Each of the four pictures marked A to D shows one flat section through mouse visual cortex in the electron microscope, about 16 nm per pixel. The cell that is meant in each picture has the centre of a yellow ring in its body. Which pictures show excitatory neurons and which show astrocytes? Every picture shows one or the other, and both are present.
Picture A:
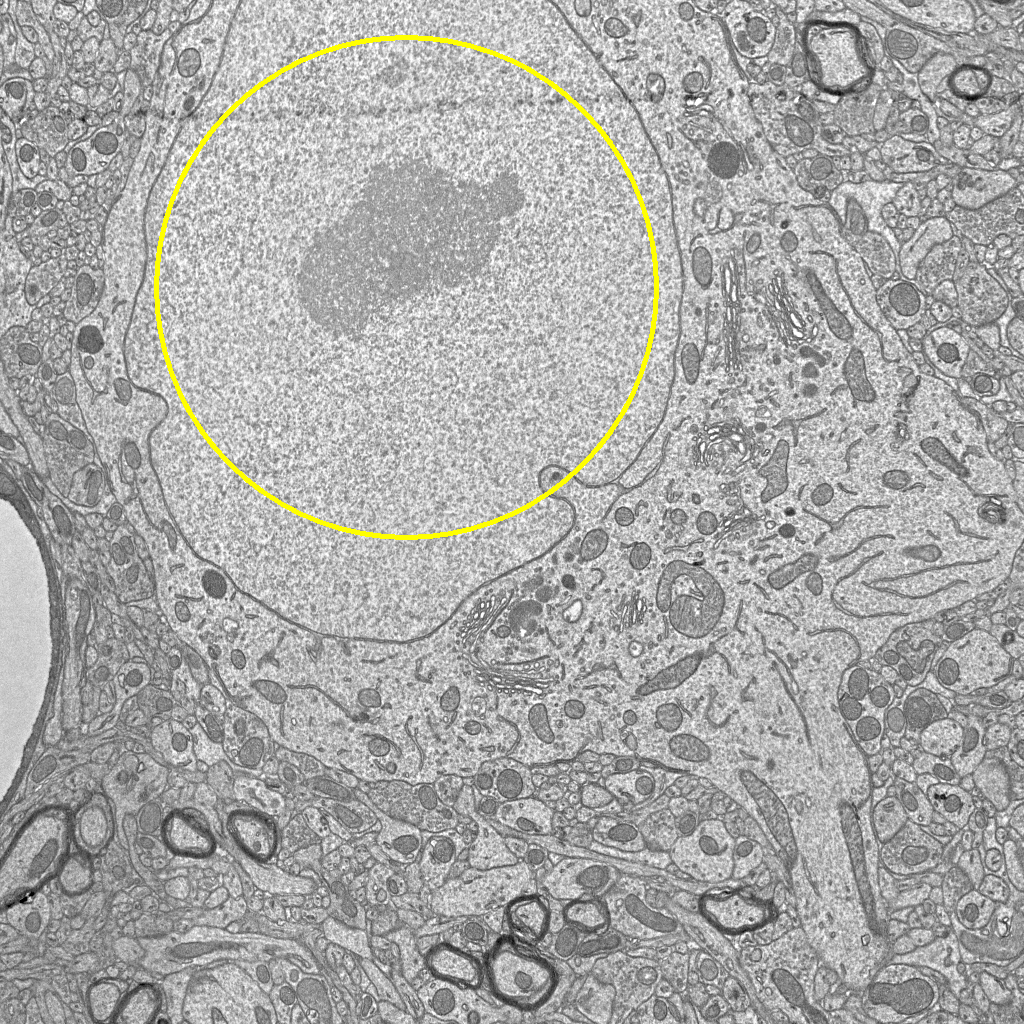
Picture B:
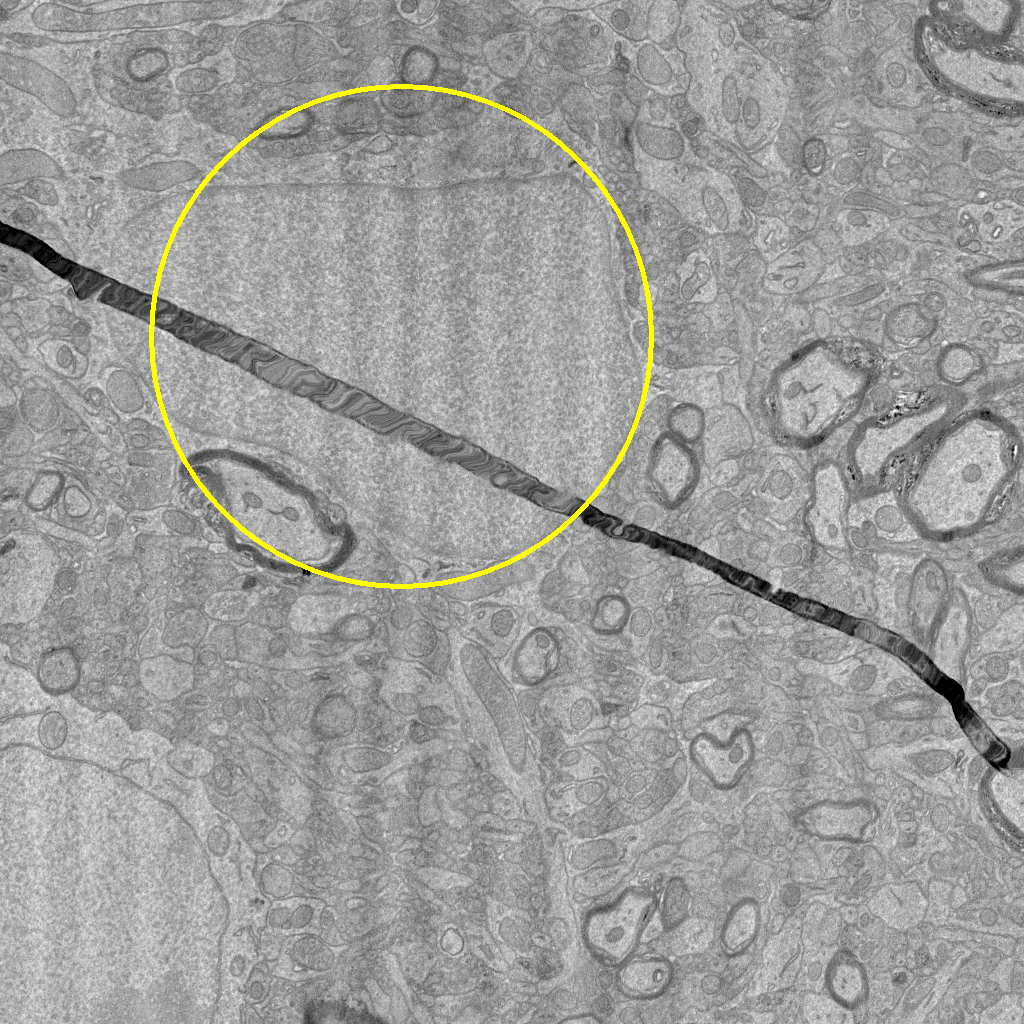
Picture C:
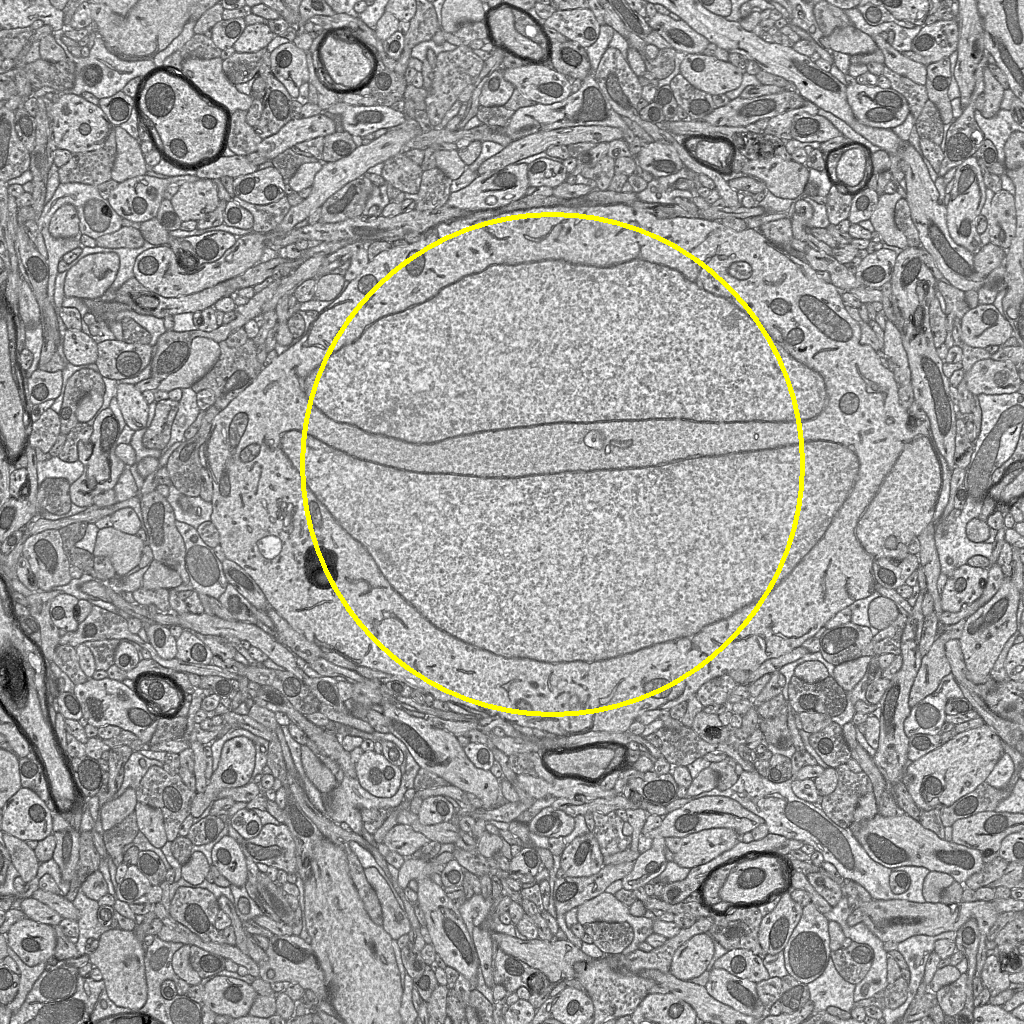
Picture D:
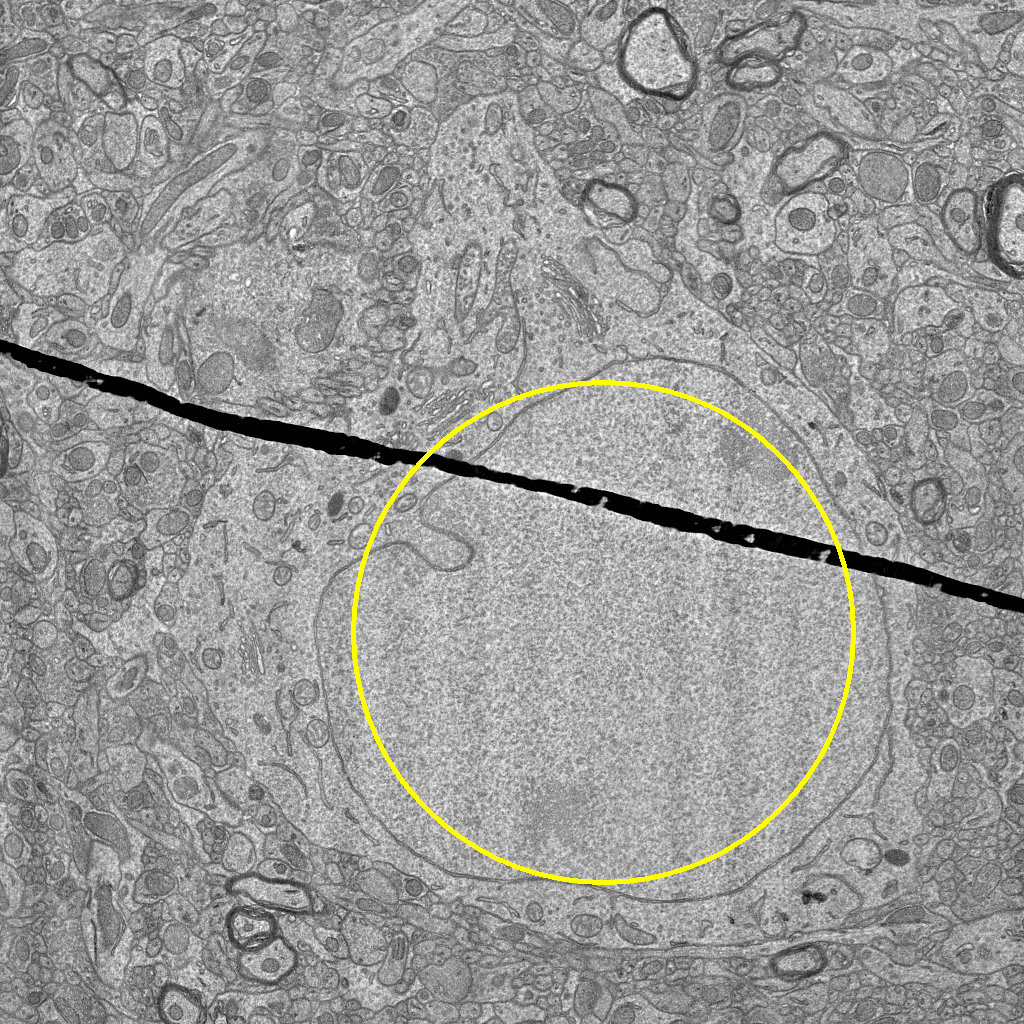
Pictures A, C and D show excitatory neurons, and picture B shows an astrocyte.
